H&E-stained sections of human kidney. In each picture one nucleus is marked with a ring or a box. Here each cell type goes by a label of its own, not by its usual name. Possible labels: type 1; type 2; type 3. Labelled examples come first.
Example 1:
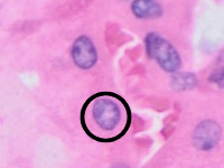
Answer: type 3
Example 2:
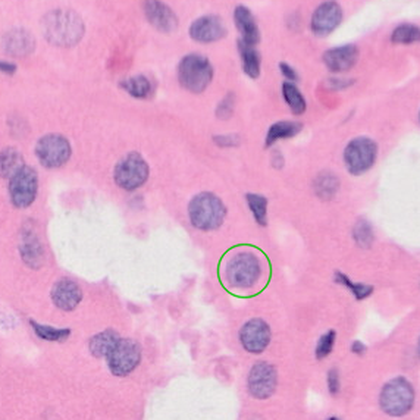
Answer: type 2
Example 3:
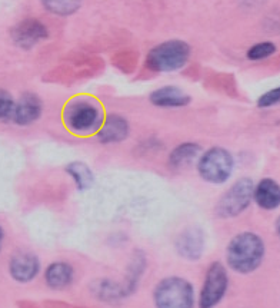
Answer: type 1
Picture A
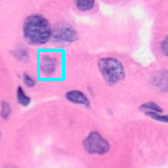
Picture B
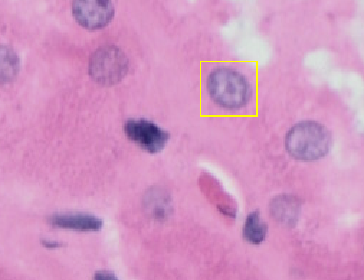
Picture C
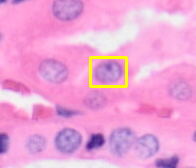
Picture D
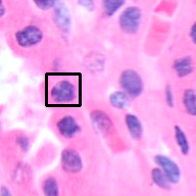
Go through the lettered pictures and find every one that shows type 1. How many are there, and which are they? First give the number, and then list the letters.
0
